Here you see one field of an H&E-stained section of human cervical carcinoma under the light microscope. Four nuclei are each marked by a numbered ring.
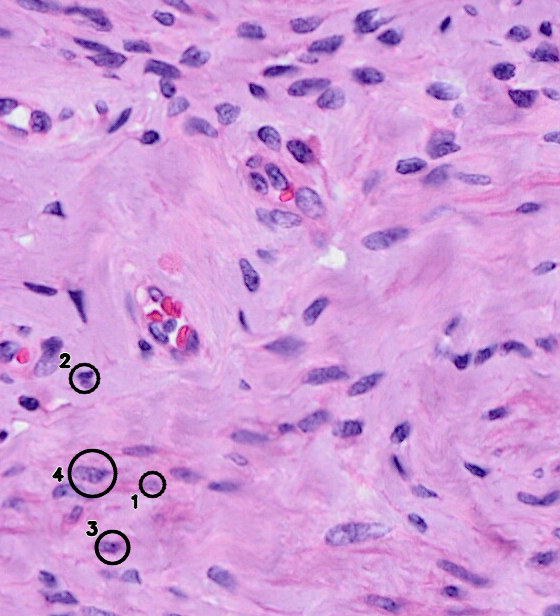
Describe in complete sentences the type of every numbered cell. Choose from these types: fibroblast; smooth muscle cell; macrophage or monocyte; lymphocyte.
Cell 1 is a smooth muscle cell, cell 2 is a fibroblast, cell 3 is a smooth muscle cell and cell 4 is a smooth muscle cell.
